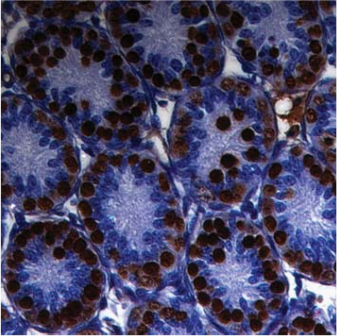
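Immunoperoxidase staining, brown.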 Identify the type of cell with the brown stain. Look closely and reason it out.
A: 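Brown-stained round nuclei lie inside the tubules, mostly along the basal side. Elongated blue nuclei of the supporting cells stay unstained. So: germ cells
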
